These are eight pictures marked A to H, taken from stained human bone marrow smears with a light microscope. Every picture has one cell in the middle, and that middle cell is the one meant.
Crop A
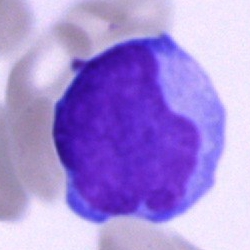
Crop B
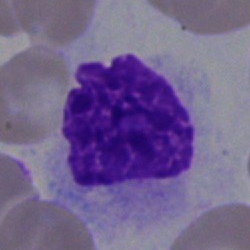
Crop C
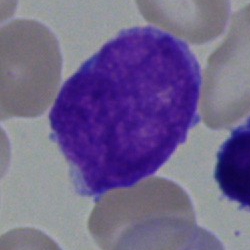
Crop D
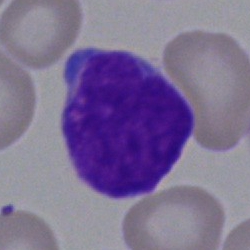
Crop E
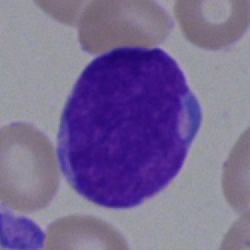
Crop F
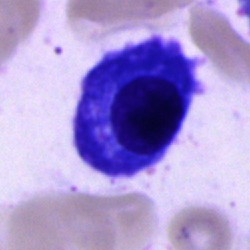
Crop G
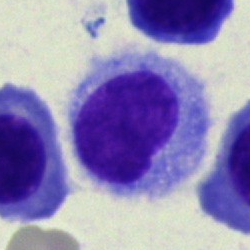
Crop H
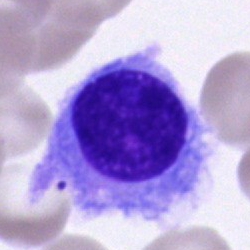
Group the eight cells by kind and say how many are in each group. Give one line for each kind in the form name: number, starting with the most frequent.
blast: 4
hairy cell: 3
plasma cell: 1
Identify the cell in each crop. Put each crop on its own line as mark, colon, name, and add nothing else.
A: blast
B: hairy cell
C: blast
D: blast
E: blast
F: plasma cell
G: hairy cell
H: hairy cell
